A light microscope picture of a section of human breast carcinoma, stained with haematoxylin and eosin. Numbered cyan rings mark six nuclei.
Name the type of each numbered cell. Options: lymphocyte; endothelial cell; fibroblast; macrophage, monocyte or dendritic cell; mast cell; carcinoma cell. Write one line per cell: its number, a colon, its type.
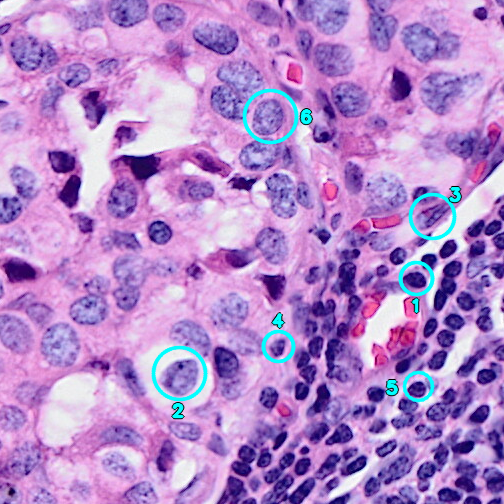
1: lymphocyte
2: carcinoma cell
3: endothelial cell
4: lymphocyte
5: lymphocyte
6: carcinoma cell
